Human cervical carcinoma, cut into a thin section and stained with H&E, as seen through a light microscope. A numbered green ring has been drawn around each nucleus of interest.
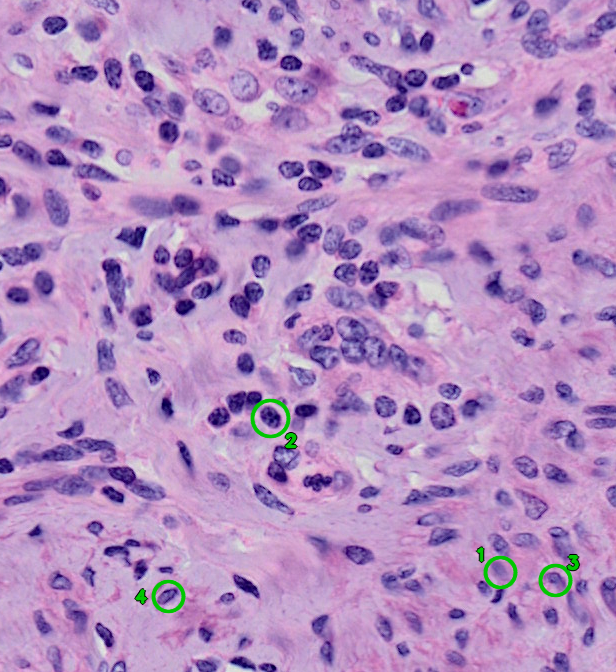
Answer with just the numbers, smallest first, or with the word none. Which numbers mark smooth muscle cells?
1, 3, 4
